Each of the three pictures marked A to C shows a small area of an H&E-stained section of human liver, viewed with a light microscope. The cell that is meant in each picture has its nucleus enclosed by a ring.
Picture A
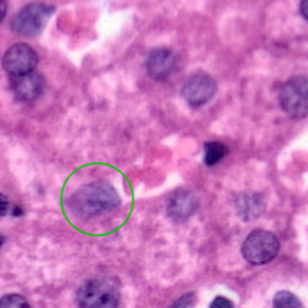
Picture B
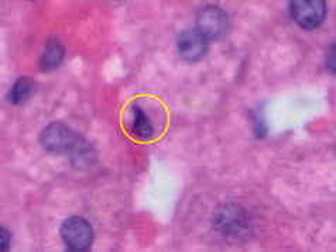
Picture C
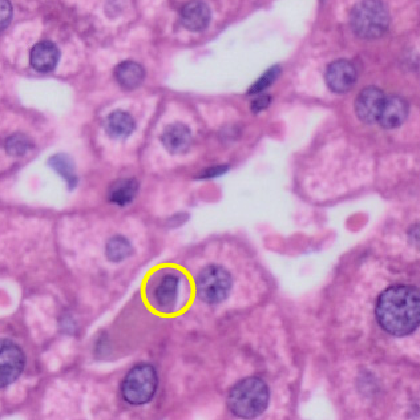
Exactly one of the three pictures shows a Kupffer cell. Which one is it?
C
